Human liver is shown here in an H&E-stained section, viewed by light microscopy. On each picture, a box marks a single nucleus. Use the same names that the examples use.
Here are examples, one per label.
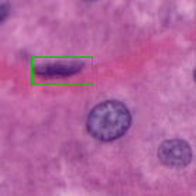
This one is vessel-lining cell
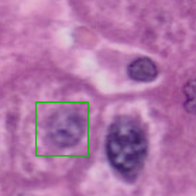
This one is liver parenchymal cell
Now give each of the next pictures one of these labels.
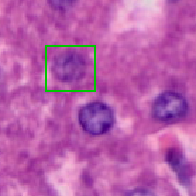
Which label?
liver parenchymal cell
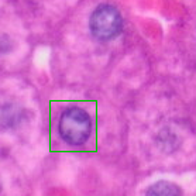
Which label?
liver parenchymal cell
